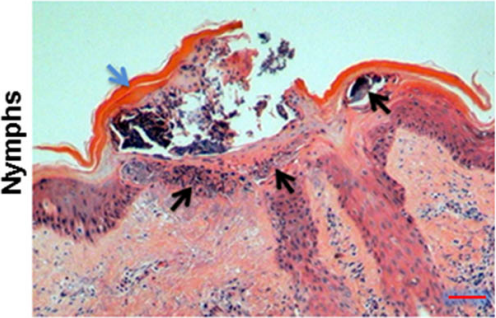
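Beneath the arched layer is a cavity holding dark, fragmented debris. The epidermis below the cavity is crowded with small, dark purple nuclei, which mark a dense cellular infiltration. The underlying dermis is pale pink, with scattered nuclei and downward projections of the epidermis.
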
